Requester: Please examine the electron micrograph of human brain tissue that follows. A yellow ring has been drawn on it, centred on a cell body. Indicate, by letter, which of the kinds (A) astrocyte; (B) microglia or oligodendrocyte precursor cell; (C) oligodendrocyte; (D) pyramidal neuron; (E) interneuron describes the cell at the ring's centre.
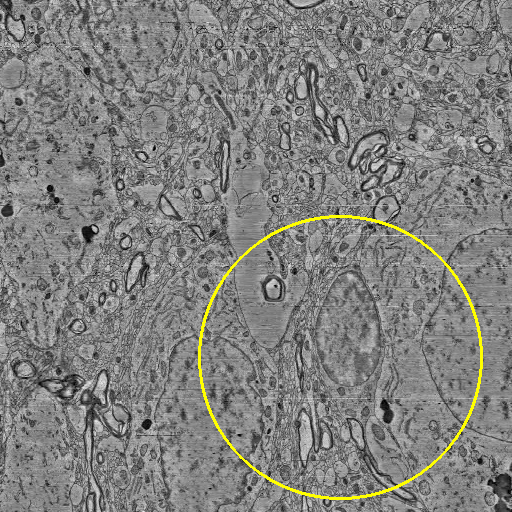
C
